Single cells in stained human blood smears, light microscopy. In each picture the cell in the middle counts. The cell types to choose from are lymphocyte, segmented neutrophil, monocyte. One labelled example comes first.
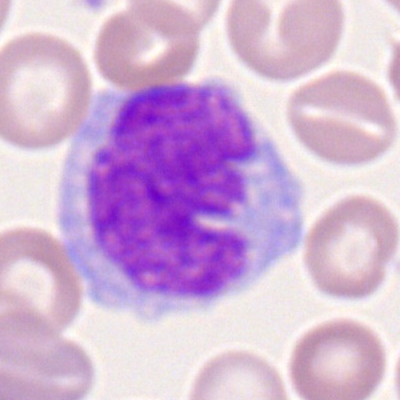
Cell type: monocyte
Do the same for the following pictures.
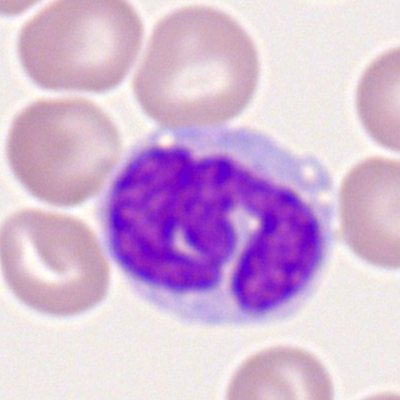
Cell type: monocyte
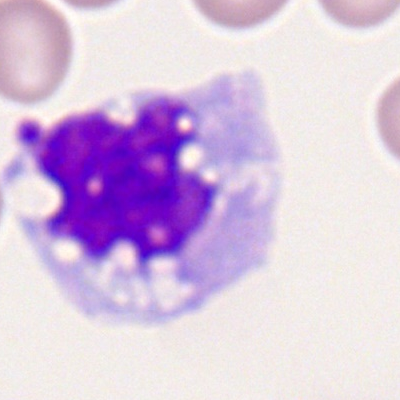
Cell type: monocyte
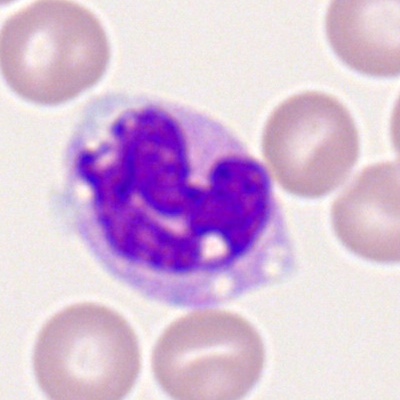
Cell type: monocyte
